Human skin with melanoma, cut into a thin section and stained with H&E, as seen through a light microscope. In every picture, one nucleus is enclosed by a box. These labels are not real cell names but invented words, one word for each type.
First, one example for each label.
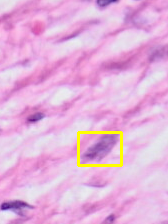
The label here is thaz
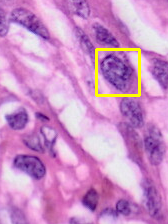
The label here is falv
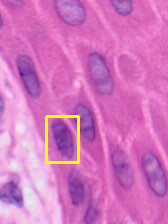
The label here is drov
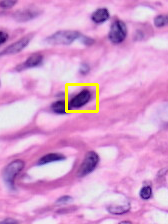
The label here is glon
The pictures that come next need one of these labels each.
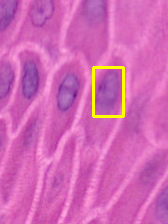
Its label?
drov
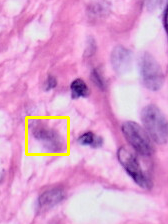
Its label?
thaz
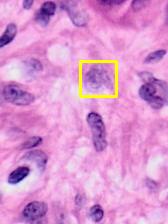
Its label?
thaz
